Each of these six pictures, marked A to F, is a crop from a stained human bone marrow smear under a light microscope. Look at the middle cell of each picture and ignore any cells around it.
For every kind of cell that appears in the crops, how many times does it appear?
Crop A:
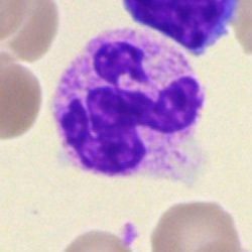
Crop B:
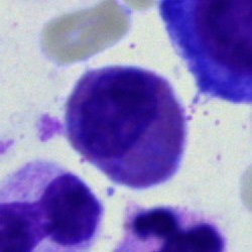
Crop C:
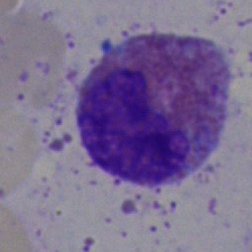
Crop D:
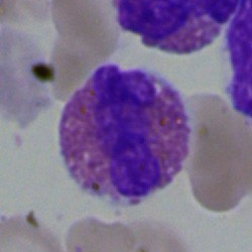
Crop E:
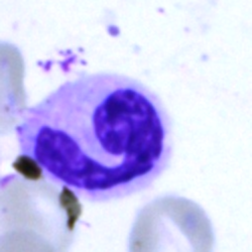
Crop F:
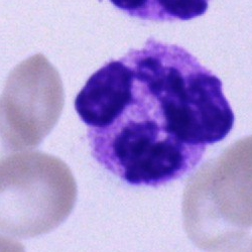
segmented neutrophil: 3
eosinophil: 3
